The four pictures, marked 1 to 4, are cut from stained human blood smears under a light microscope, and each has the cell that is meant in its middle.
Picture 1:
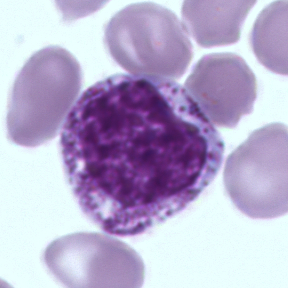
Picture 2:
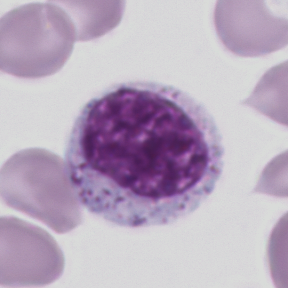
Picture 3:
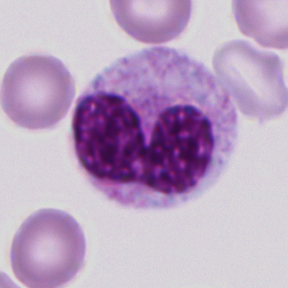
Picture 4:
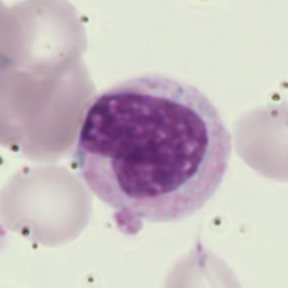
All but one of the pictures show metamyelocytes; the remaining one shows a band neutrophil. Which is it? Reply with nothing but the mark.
3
